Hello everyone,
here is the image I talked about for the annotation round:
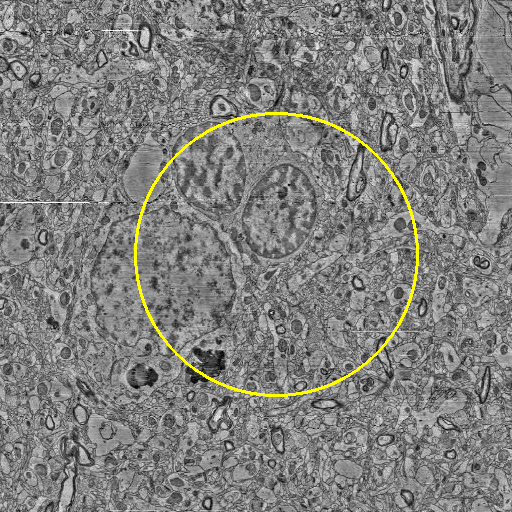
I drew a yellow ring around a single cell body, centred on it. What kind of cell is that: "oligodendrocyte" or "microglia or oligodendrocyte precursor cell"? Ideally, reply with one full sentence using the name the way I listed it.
The cell your yellow ring is centred on is an oligodendrocyte, going by your list.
